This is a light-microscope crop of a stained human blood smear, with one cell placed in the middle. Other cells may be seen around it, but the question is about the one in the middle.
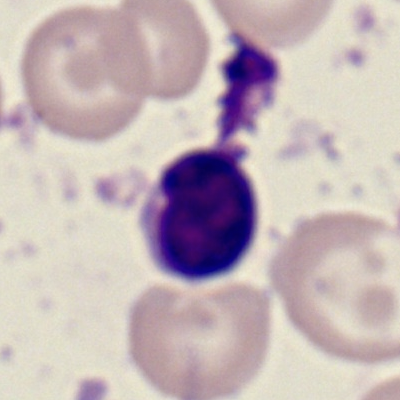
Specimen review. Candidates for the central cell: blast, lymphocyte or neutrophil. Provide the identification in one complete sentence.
In this smear crop, the middle cell is a lymphocyte.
